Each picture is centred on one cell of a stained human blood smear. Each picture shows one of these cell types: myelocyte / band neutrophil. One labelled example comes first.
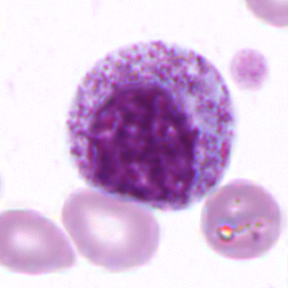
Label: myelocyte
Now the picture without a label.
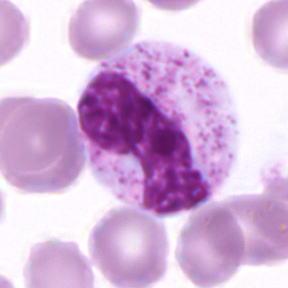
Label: band neutrophil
